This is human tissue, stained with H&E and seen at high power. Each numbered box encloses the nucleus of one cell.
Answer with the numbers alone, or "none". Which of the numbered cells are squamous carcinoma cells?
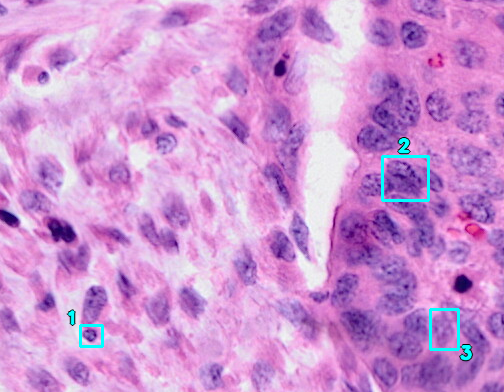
2, 3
